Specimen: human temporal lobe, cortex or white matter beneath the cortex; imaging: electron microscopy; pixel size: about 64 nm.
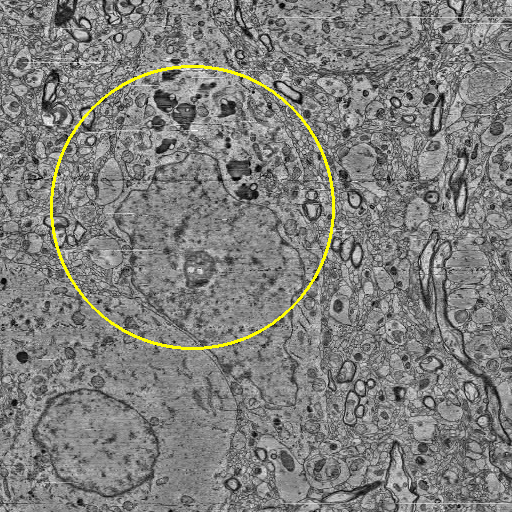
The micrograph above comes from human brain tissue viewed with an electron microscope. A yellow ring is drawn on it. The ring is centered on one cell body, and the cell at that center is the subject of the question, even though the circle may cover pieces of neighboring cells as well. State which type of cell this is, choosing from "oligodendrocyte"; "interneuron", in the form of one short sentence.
The cell the ring is centered on is an interneuron.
